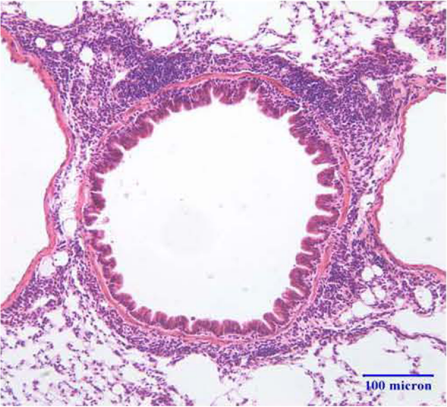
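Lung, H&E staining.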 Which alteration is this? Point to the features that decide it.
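A thick, dense band of small dark purple nuclei surrounds the airway wall. The dense cellular cuff extends into the tissue around neighbouring vessels.
Conclusion: inflammatory cell infiltration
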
